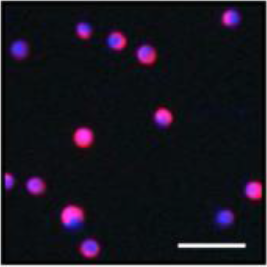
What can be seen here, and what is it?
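Dispersed single round cells lie scattered apart on a dark background, none of them clumped together. Nearly every cell shows a red cytoplasm around a blue nucleus, so the red overlaps and partly covers the nucleus, giving a pink-magenta tone. Green staining is almost absent.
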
